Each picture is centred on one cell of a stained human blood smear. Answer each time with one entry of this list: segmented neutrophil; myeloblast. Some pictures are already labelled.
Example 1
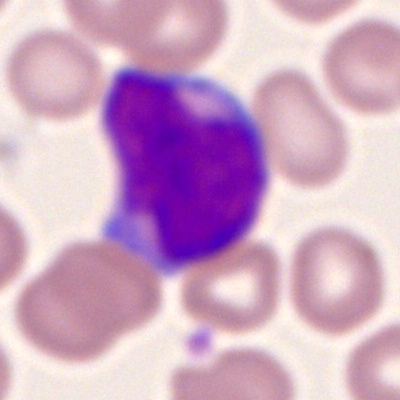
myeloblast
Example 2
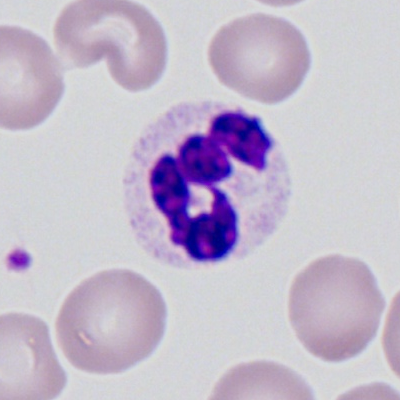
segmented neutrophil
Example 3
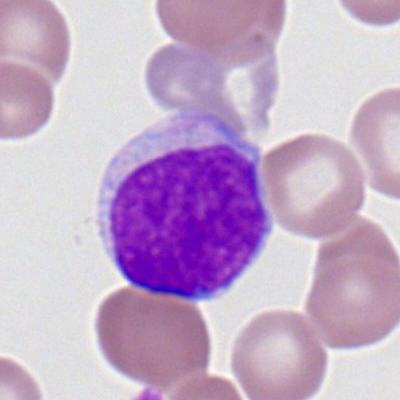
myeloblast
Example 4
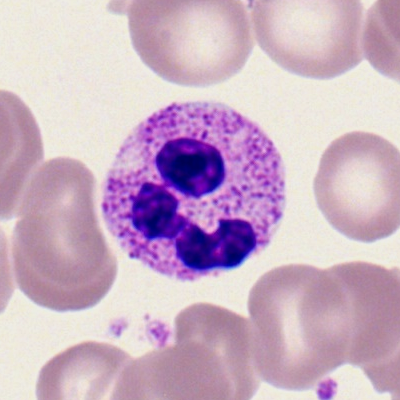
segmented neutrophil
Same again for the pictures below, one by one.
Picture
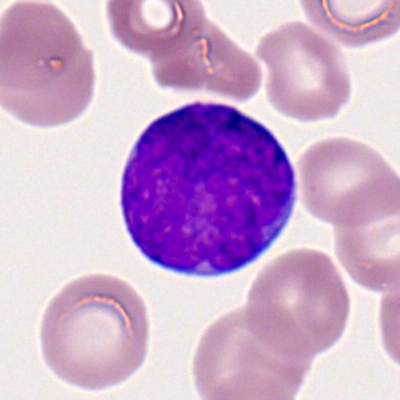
myeloblast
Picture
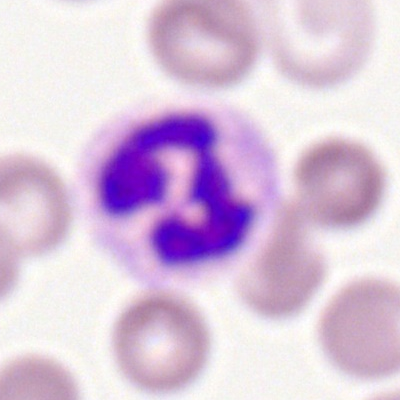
segmented neutrophil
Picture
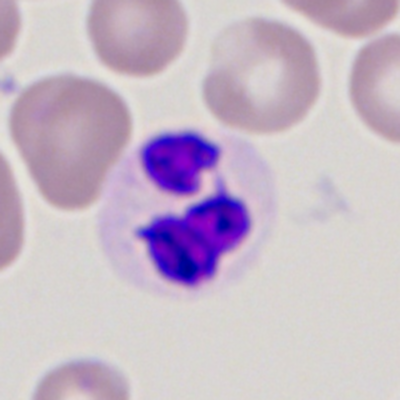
segmented neutrophil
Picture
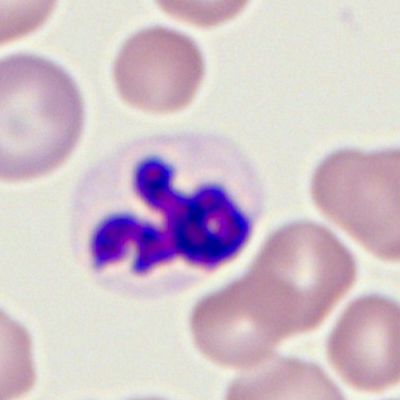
segmented neutrophil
